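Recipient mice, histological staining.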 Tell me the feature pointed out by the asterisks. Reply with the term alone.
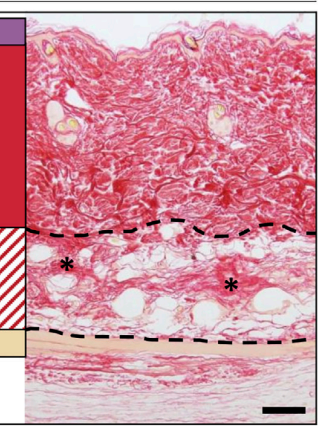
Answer: collagen fibers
